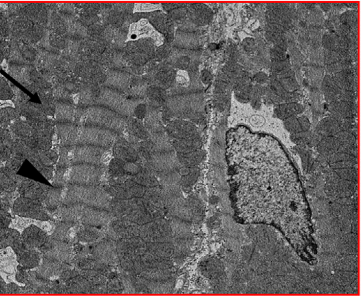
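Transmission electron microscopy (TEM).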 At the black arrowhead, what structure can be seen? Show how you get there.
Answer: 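The arrowhead points to a thin dark line crossing the myofibril. Such dark lines repeat at regular intervals along the fibres. On this evidence: z-line.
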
